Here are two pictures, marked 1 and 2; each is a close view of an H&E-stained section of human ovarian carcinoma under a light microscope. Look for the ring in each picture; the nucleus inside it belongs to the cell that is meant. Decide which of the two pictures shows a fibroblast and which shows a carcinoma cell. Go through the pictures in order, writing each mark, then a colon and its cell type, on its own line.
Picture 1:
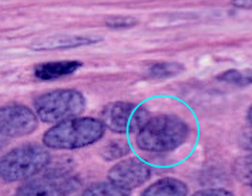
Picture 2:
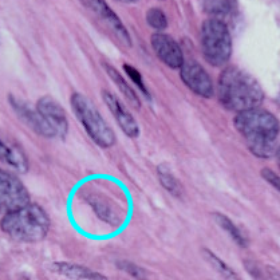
1: carcinoma cell
2: fibroblast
